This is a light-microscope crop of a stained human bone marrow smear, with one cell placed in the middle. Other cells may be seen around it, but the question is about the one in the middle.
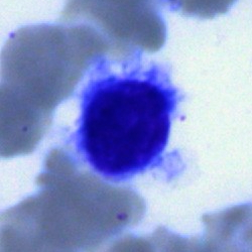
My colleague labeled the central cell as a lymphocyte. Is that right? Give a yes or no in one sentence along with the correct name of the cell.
Yes, the centered cell in this field is a lymphocyte.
